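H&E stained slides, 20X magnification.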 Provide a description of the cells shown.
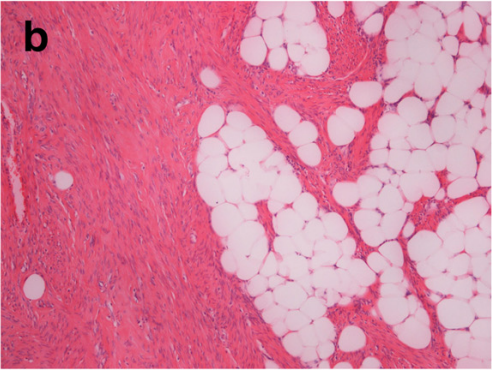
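On one side lies a lobule of large, clear, rounded and polygonal vacuoles separated by thin pink septa with flattened nuclei at their rims, which is mature fat. On the other side is a compact pink tissue of elongated cells with slender, cigar-like nuclei running in parallel streams. Strands of this spindle-cell tissue also run into the fat, so the two are intermingled rather than sharply separated. The picture fits bundles of spindle cells lying between mature fat.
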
